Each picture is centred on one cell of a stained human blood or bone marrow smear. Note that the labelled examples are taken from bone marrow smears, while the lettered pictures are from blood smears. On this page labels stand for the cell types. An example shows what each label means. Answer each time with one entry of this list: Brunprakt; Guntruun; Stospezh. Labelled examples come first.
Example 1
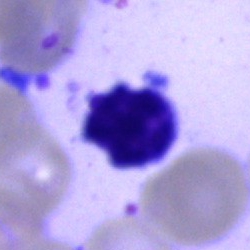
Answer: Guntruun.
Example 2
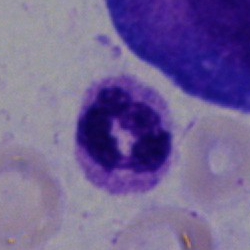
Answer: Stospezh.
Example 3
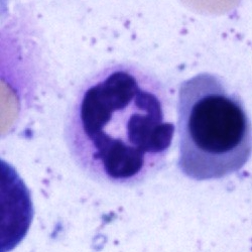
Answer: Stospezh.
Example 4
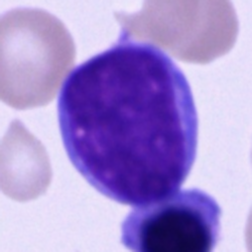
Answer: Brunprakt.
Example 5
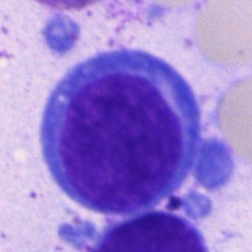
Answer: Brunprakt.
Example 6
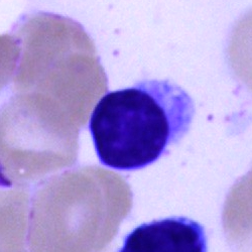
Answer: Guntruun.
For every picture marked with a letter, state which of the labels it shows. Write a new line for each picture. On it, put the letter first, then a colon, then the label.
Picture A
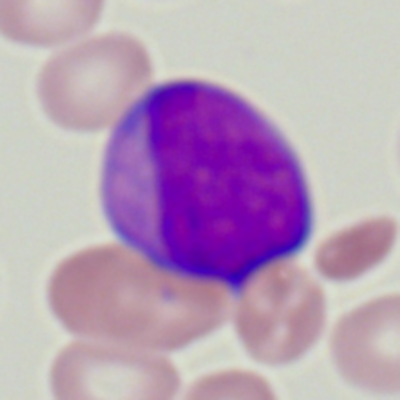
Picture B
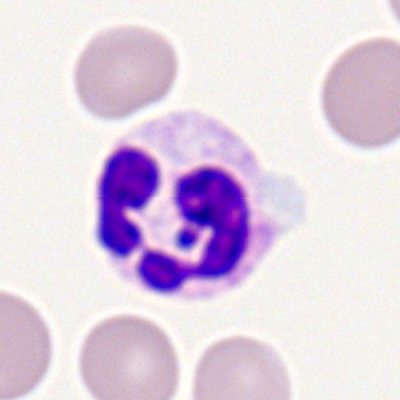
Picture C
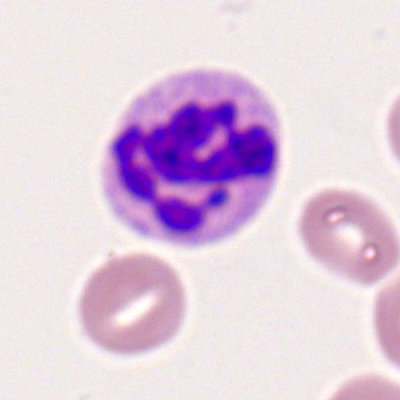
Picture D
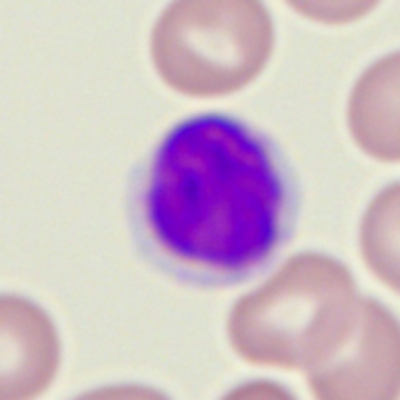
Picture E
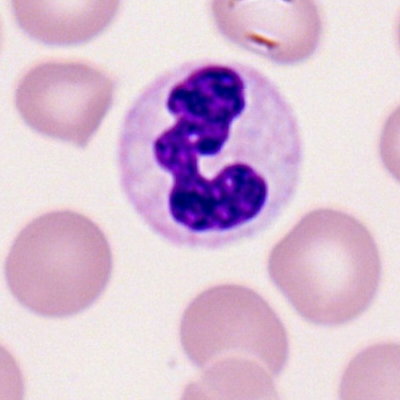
A: Brunprakt.
B: Stospezh.
C: Stospezh.
D: Guntruun.
E: Stospezh.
